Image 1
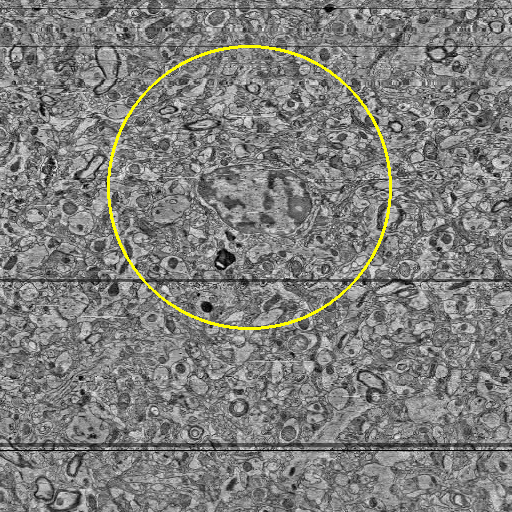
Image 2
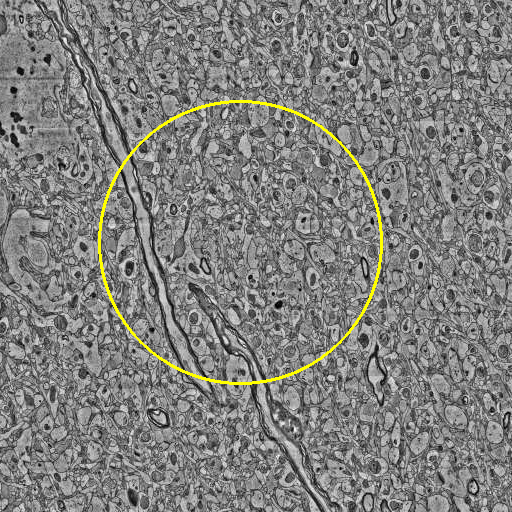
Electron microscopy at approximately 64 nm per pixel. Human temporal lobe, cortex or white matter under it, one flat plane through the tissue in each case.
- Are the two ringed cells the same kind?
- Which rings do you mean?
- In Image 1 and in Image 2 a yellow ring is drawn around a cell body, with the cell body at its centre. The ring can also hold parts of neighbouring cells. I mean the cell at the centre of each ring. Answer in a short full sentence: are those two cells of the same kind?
Yes, both cells are of the same kind.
